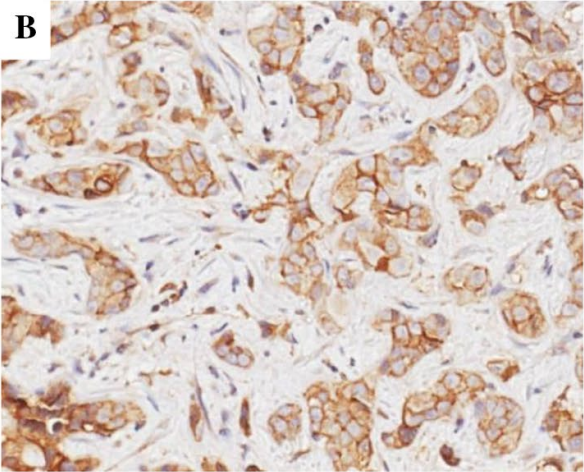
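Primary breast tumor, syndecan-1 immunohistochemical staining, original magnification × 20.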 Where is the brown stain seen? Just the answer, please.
membranous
